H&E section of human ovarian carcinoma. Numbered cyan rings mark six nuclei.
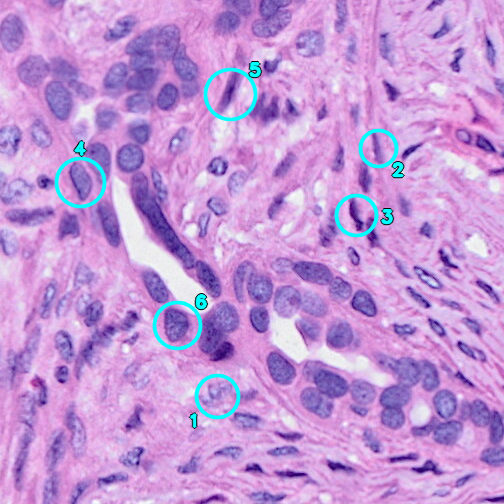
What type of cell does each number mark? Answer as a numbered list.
1. fibroblast
2. fibroblast
3. fibroblast
4. carcinoma cell
5. fibroblast
6. carcinoma cell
